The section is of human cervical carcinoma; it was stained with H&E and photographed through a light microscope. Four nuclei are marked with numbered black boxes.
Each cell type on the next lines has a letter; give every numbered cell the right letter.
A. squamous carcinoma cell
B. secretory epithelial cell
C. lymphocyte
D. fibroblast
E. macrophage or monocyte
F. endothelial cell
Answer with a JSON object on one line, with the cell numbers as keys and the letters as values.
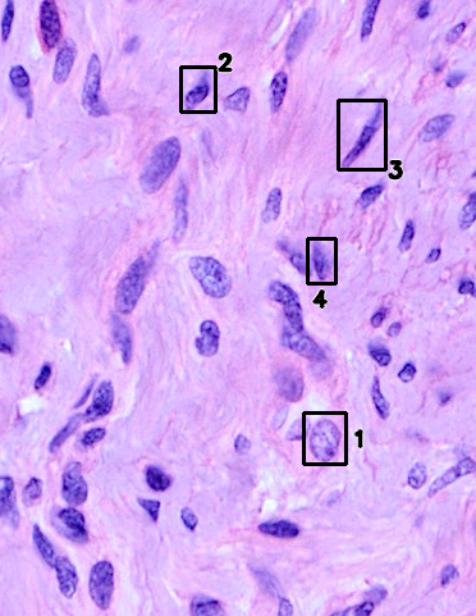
{"1": "F", "2": "D", "3": "D", "4": "D"}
